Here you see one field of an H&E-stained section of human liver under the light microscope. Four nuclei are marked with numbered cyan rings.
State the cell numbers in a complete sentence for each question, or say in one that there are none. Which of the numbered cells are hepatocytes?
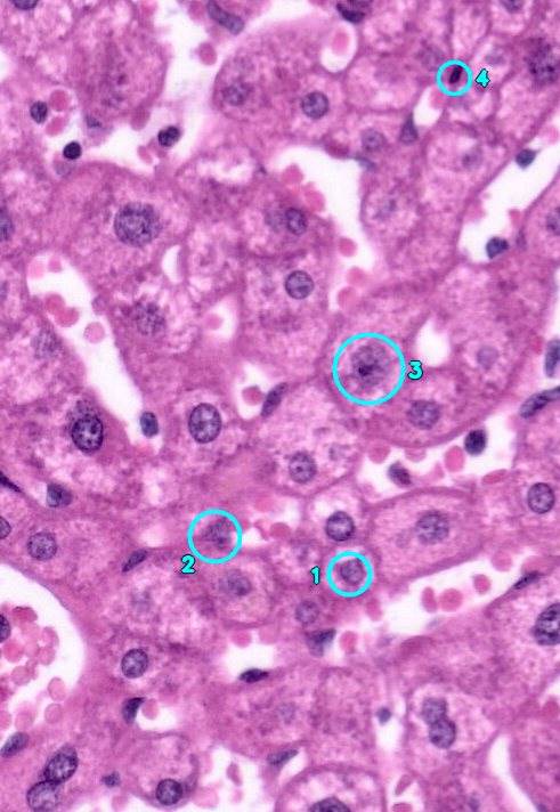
On this slide, the cells numbered 1 and 3 are hepatocytes.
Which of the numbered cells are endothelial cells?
The cell marked by number 2 is an endothelial cell; the other marked cells are not.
